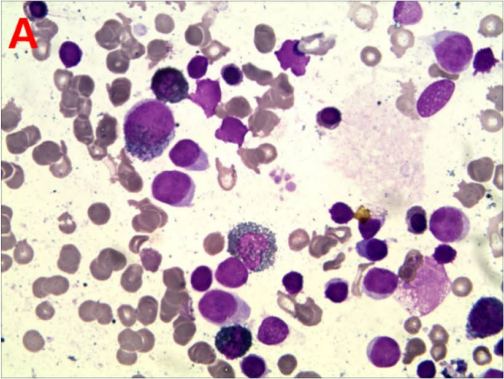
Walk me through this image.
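This bone marrow smear shows many nucleated cells scattered among red cells. Several large cells have round nuclei and purple cytoplasm without dark granules. A few other cells have cytoplasm packed with dark blue-black granules, and small cells with dense dark nuclei lie between them.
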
